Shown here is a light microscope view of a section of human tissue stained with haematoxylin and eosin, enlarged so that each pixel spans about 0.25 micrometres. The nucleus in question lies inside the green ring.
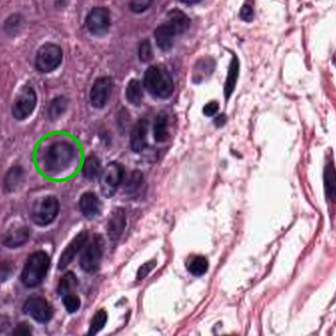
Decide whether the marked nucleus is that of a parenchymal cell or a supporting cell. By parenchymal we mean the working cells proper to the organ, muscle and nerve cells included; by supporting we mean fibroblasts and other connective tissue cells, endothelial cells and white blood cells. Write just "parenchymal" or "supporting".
parenchymal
